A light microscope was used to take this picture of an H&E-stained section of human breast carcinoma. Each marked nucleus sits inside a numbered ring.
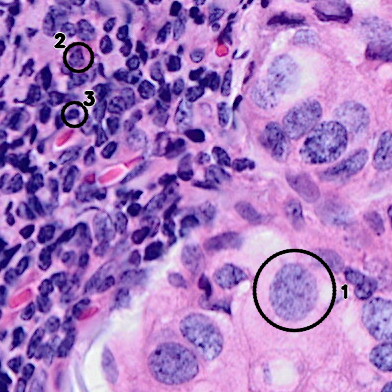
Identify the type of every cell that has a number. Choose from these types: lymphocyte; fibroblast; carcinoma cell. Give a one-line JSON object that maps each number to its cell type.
{"1": "carcinoma cell", "2": "lymphocyte", "3": "lymphocyte"}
